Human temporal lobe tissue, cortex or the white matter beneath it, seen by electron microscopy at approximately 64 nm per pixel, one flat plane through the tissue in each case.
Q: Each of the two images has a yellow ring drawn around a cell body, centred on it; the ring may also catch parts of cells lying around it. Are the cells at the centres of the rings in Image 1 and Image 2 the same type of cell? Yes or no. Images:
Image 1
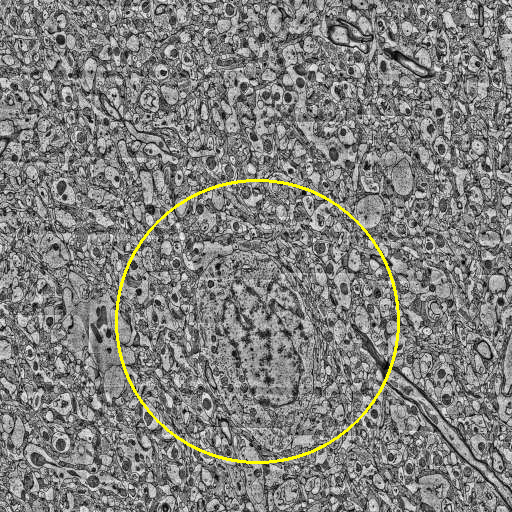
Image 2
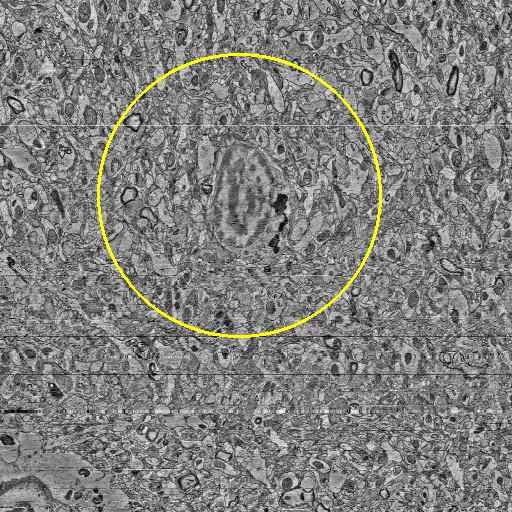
no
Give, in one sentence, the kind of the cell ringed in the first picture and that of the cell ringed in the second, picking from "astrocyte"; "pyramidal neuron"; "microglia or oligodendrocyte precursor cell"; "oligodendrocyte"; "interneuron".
For the first picture it is an interneuron; for the second, an oligodendrocyte.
